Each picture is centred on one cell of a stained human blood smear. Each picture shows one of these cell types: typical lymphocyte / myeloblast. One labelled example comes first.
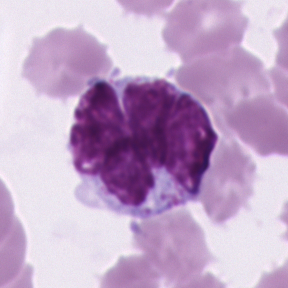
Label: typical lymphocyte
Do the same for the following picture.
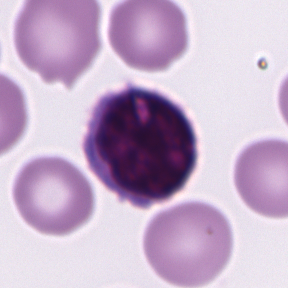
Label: typical lymphocyte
